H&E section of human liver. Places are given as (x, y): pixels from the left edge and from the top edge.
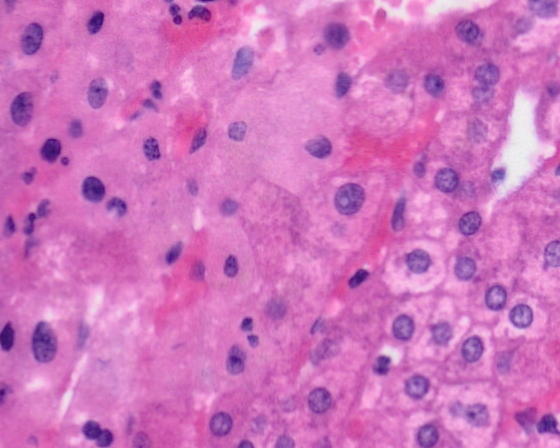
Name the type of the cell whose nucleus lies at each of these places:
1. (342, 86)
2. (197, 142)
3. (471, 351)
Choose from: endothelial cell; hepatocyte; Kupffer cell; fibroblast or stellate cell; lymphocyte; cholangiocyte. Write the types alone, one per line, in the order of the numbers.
fibroblast or stellate cell
endothelial cell
hepatocyte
